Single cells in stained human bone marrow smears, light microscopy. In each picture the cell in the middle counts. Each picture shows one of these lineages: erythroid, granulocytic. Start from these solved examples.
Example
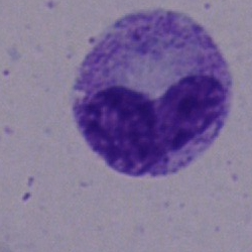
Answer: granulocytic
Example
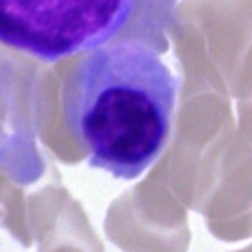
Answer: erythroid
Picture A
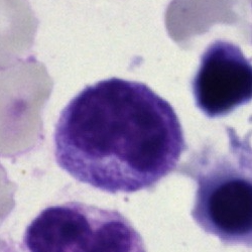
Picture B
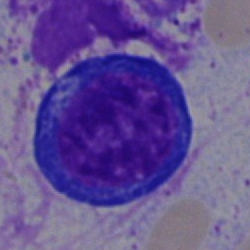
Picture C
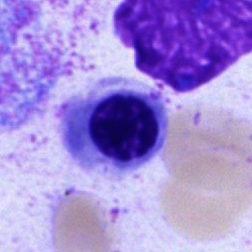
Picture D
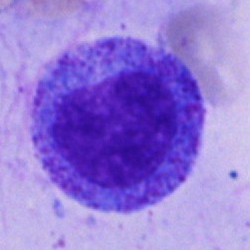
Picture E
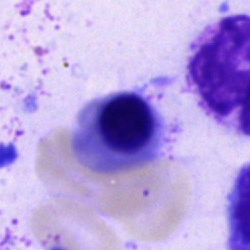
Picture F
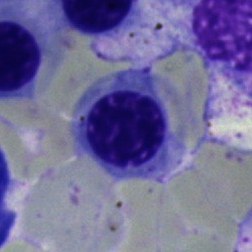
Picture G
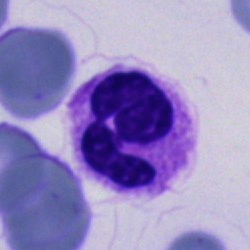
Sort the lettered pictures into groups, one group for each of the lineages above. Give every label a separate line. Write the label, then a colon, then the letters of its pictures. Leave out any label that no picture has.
erythroid: B, C, E, F
granulocytic: A, D, G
